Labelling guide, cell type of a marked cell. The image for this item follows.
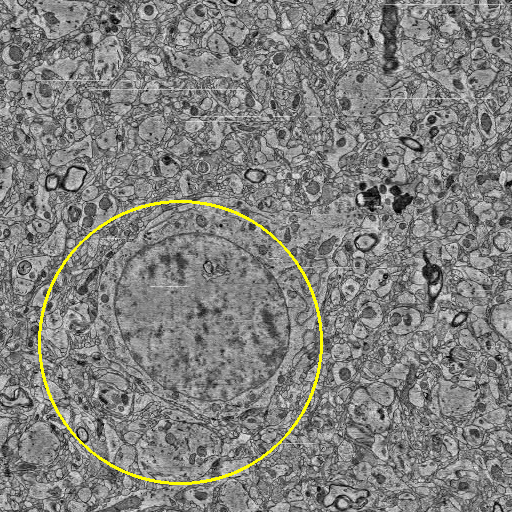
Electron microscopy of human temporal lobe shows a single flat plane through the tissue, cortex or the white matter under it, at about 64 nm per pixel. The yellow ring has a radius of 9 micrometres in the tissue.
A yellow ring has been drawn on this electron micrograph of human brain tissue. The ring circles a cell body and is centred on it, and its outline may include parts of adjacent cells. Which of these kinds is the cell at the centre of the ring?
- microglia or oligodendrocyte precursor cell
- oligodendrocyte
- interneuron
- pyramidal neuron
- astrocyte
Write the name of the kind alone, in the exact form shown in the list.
interneuron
